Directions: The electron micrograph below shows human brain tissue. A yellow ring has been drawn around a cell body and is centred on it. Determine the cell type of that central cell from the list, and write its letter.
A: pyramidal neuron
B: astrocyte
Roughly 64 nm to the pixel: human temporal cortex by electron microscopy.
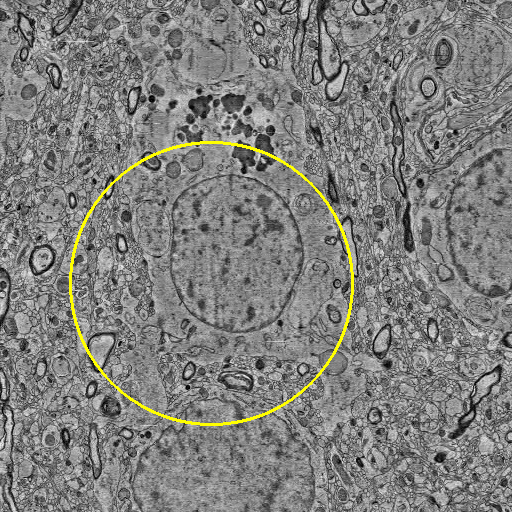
B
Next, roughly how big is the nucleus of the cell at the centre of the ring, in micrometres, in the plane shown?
The nucleus is approximately 10 micrometers long by 9 micrometers wide in this plane.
